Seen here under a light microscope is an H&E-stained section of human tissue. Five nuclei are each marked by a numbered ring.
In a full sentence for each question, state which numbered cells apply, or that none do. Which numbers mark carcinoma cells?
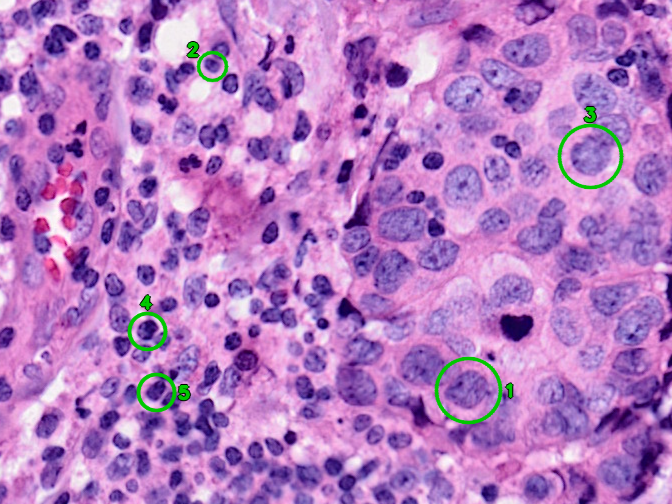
The cells referred to by the numbers 1 and 3 are carcinoma cells.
